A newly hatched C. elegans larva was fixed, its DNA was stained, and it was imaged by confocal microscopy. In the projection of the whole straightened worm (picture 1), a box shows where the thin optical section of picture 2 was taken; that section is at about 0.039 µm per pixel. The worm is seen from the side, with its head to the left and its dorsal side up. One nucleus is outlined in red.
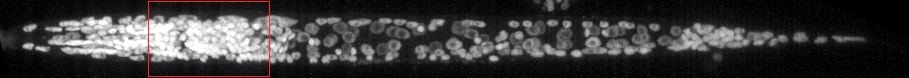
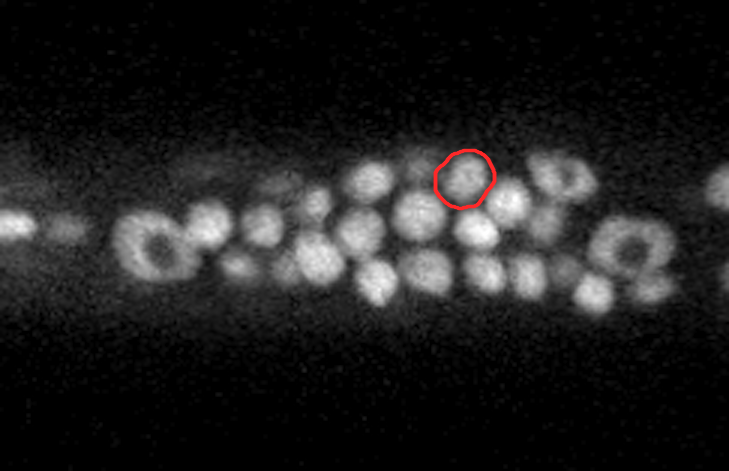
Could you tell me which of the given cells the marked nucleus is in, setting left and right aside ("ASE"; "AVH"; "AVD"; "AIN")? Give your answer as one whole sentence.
The marked nucleus is that of AVH, a neuron.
